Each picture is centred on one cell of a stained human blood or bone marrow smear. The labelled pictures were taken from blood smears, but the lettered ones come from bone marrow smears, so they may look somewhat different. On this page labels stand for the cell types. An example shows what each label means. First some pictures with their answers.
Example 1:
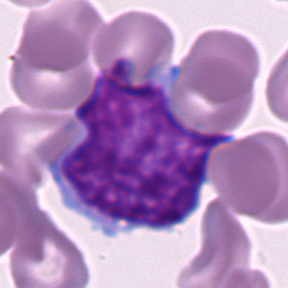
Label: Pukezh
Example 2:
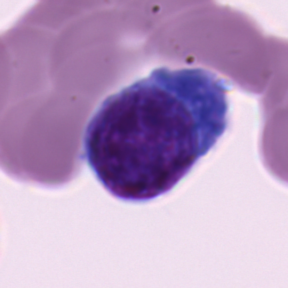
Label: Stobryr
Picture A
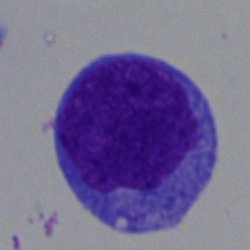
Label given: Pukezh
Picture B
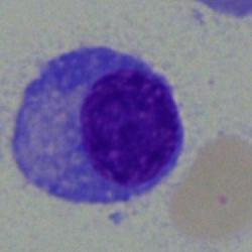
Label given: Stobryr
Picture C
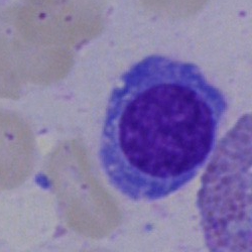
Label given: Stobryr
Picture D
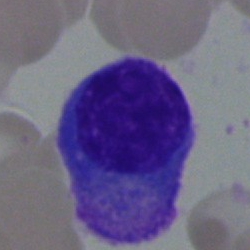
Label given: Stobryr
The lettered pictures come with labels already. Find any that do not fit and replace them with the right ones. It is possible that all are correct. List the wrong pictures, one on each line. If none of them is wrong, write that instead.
Every label is right.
